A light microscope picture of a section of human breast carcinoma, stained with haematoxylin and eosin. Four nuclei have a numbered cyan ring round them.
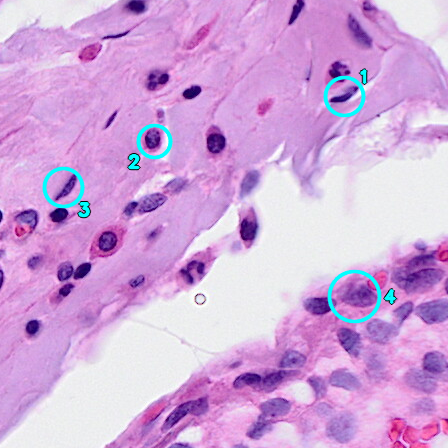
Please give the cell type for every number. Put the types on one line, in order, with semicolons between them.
fibroblast; mast cell; fibroblast; endothelial cell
